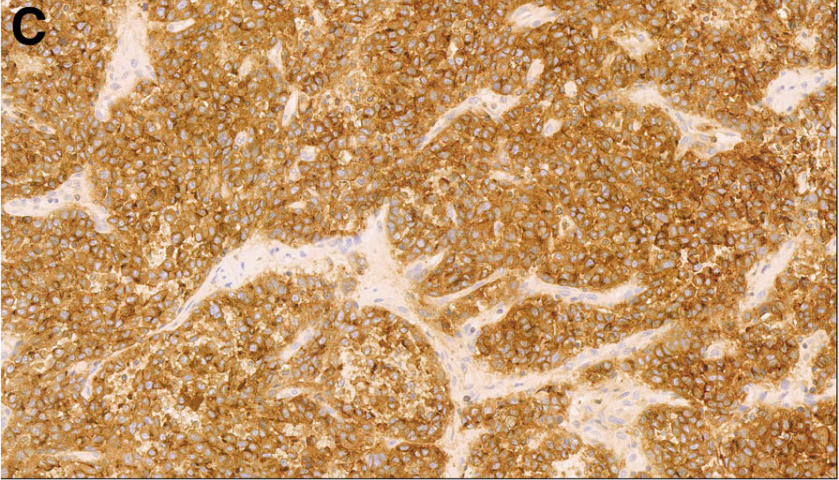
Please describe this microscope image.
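Here the tissue is made of closely packed polygonal epithelioid cells in broad solid nests and anastomosing trabeculae, parted by narrow strands of pale stroma holding thin vessels. The nuclei are round to oval, fairly uniform and stand out as pale blue dots inside the brown cytoplasm. The stroma between the nests stays almost unstained. Together this is an epithelial growth in solid nests and cords, with strong and diffuse brown reaction in its cells.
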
